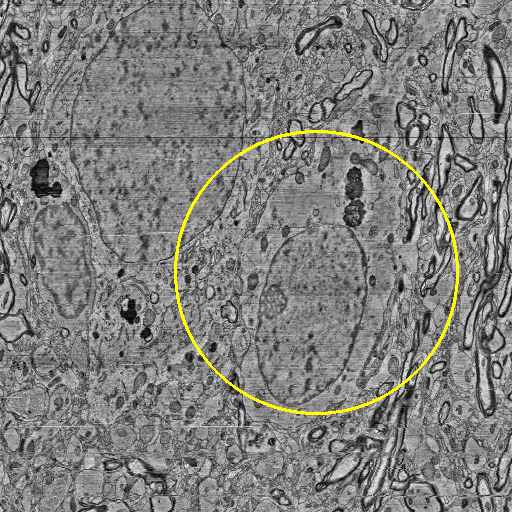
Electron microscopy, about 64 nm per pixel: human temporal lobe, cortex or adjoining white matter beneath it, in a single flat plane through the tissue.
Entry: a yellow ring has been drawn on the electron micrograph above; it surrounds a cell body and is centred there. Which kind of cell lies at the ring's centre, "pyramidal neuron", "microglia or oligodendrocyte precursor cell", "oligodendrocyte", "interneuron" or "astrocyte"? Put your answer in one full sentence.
The cell sitting at the ring's centre is an astrocyte in the micrograph above.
